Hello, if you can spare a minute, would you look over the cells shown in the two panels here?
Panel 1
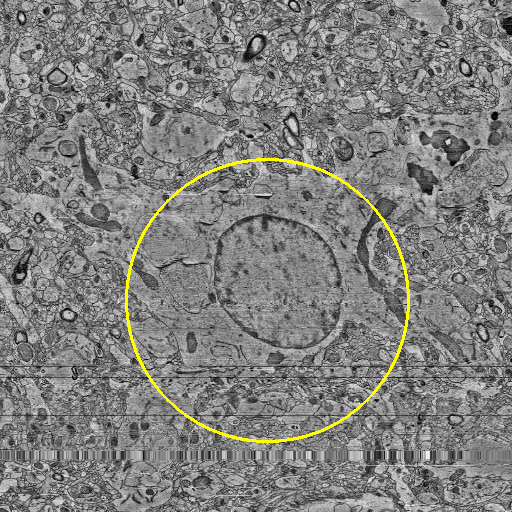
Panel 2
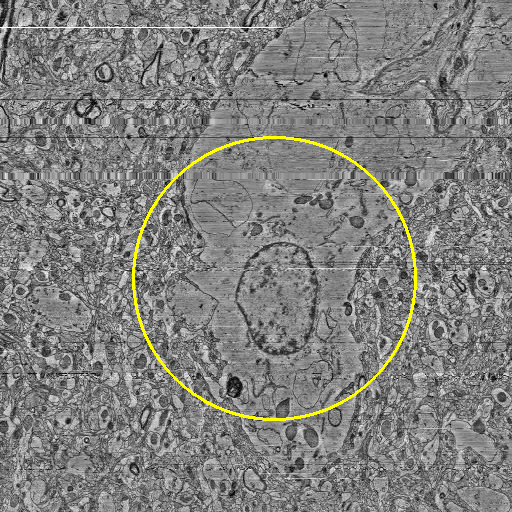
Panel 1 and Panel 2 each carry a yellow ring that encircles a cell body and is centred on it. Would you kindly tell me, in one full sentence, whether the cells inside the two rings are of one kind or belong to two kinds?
The cells at the centres of the rings in Panel 1 and Panel 2 are of one kind.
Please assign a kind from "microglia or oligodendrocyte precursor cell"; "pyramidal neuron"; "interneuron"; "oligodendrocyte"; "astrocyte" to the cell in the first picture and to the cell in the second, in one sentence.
Each cell, in the first picture and the second, is an astrocyte.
